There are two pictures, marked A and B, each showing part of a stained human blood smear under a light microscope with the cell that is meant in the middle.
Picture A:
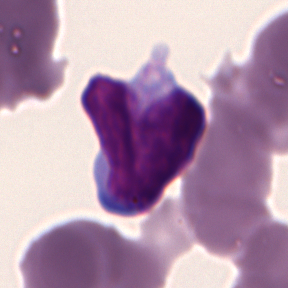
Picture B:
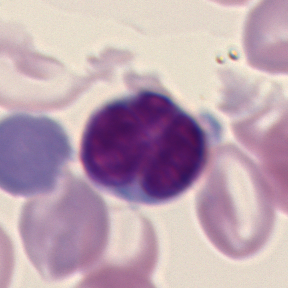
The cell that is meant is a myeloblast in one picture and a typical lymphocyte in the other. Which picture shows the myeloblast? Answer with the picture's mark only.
A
